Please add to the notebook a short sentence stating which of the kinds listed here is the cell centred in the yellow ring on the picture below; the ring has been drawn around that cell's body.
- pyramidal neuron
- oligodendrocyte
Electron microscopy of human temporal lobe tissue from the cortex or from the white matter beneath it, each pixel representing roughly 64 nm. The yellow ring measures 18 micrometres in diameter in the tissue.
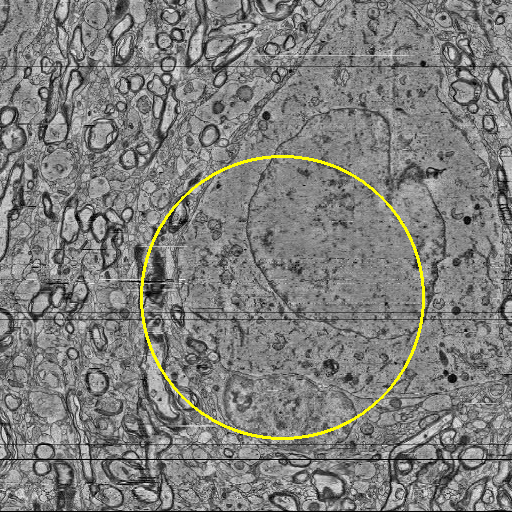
The cell centred in the yellow ring is a pyramidal neuron.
